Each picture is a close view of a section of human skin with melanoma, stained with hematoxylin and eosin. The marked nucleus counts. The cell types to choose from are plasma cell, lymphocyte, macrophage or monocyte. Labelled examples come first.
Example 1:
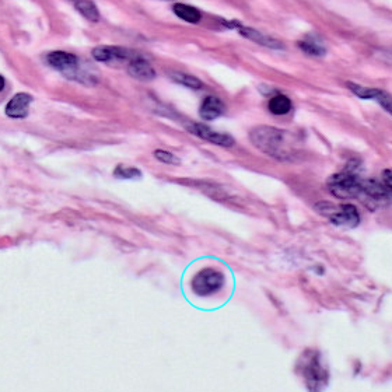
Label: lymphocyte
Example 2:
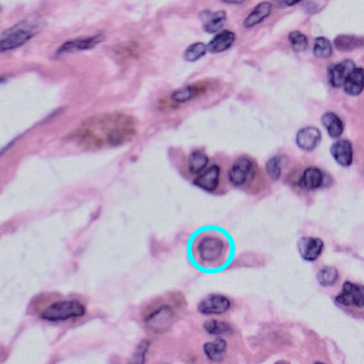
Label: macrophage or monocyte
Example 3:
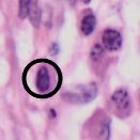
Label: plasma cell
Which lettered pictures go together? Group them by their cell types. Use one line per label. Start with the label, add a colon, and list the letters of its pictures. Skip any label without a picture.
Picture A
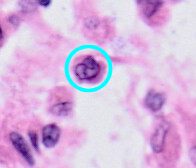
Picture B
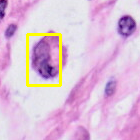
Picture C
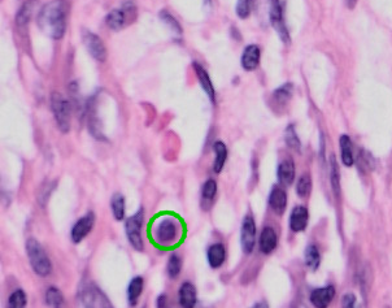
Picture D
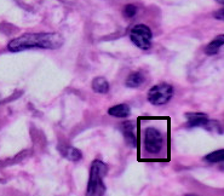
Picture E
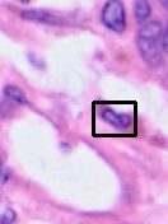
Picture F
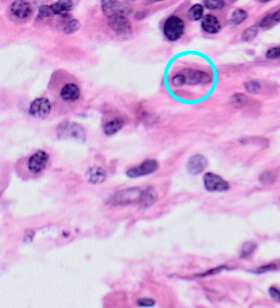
plasma cell: C, D
macrophage or monocyte: A, B, E, F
